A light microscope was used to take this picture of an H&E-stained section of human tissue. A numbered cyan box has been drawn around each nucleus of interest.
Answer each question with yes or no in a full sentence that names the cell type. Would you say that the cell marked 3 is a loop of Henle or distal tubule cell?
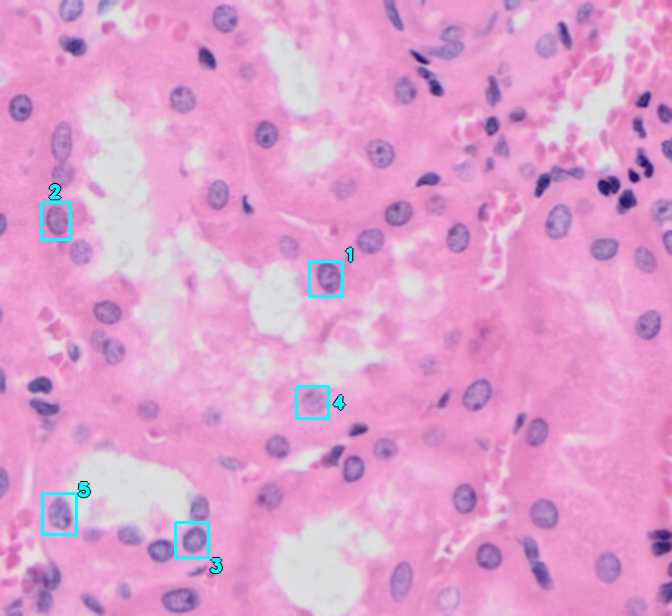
Yes, the marked cell with number 3 is a loop of Henle or distal tubule cell.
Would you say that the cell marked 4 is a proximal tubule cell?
Yes, the cell marked with number 4 is a proximal tubule cell.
